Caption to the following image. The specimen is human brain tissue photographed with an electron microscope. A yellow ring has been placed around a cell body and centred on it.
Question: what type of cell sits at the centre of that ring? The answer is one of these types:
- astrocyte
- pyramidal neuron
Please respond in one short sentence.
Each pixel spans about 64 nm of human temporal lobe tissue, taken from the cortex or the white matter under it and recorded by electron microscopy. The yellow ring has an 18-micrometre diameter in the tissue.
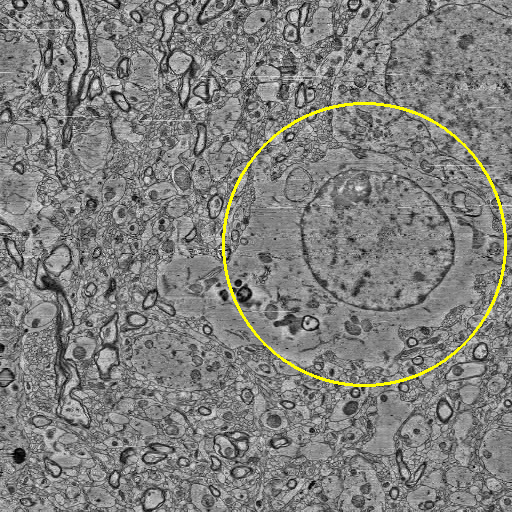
The ring surrounds the cell body of an astrocyte.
